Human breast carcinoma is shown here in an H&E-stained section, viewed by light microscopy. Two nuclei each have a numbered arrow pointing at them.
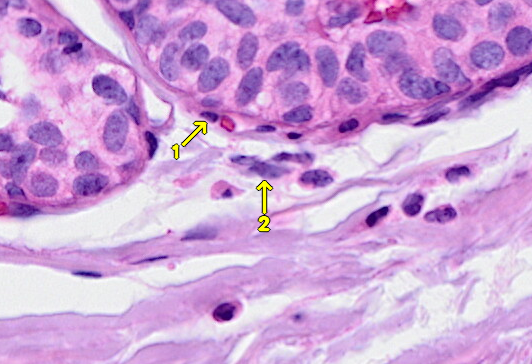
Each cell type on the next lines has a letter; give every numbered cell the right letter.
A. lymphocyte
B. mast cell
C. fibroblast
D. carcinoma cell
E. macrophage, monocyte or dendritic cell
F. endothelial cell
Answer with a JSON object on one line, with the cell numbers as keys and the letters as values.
{"1": "F", "2": "C"}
